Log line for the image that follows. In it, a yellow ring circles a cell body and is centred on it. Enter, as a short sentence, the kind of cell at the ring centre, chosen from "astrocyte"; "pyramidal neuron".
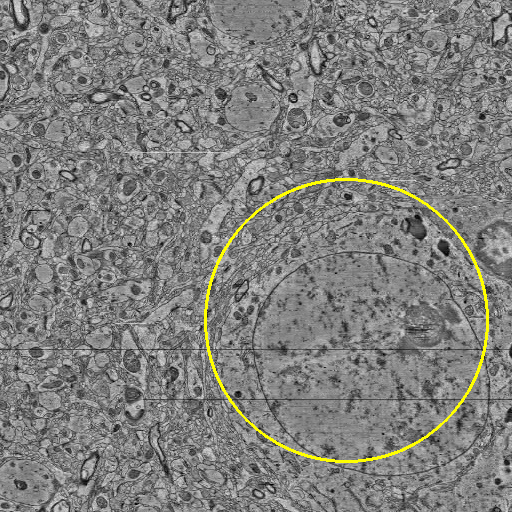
The ring centre is occupied by a pyramidal neuron.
